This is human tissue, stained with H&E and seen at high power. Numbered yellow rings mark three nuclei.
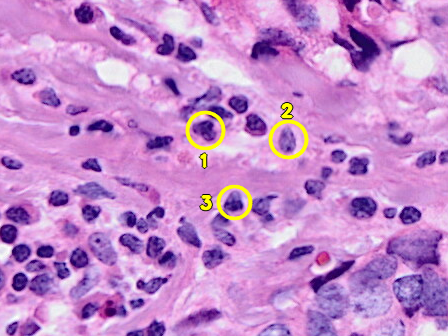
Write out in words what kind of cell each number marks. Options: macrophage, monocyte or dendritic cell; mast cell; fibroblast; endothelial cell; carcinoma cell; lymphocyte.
Cell 1 is a lymphocyte, cell 2 is a mast cell and cell 3 is a lymphocyte.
